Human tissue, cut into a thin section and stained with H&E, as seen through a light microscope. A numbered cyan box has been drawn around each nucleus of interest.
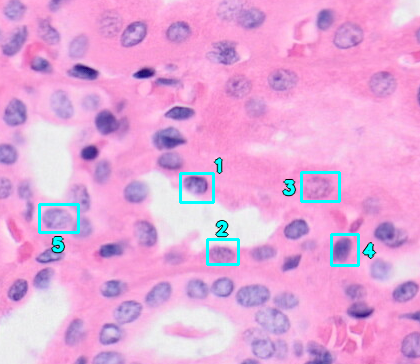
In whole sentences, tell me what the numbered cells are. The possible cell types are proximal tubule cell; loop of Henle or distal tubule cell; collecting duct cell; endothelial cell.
Cell 1 is a loop of Henle or distal tubule cell, cell 2 is a loop of Henle or distal tubule cell, cell 3 is a proximal tubule cell, cell 4 is an endothelial cell and cell 5 is a collecting duct cell.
